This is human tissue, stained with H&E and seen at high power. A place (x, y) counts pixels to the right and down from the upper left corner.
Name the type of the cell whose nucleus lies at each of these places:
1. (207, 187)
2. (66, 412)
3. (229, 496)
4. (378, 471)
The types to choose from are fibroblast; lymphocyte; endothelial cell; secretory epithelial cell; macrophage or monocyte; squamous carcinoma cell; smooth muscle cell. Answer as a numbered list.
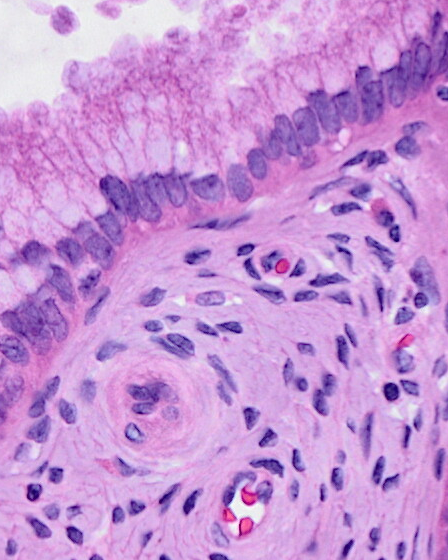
1. secretory epithelial cell
2. fibroblast
3. endothelial cell
4. fibroblast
